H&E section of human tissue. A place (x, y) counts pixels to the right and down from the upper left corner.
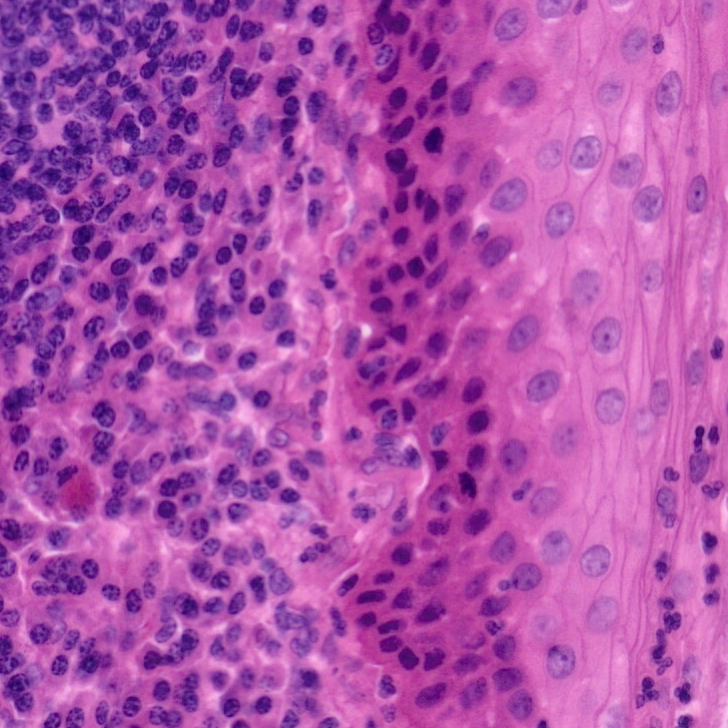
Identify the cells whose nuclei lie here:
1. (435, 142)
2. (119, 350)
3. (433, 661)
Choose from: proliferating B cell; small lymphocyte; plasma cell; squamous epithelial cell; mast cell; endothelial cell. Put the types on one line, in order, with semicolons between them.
squamous epithelial cell; plasma cell; squamous epithelial cell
